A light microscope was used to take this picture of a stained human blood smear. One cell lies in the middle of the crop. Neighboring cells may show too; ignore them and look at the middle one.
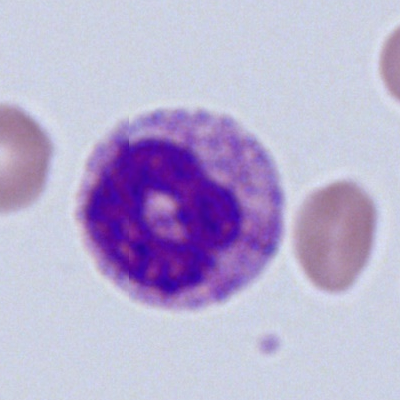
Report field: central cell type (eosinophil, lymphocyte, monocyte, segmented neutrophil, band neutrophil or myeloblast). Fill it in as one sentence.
Seen at the centre of the crop is a band neutrophil.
